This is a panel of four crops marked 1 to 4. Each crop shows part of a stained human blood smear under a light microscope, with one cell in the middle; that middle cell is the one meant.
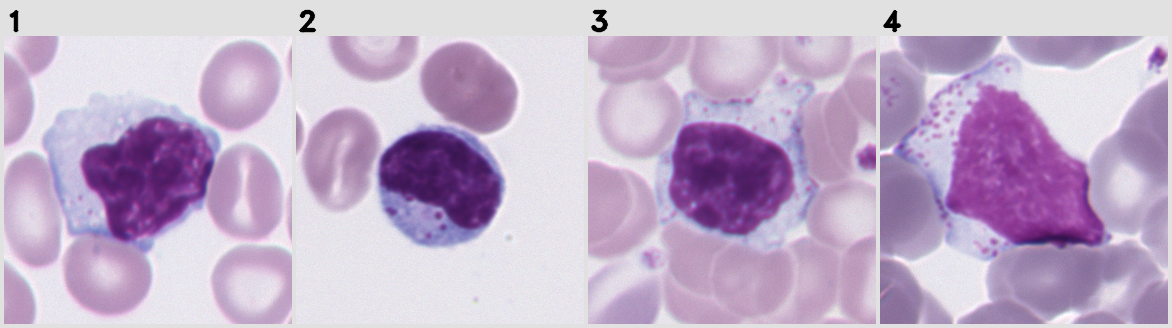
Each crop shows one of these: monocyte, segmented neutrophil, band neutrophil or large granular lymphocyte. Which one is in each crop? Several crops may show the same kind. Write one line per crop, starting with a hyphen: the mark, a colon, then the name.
- 1: large granular lymphocyte
- 2: large granular lymphocyte
- 3: large granular lymphocyte
- 4: large granular lymphocyte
